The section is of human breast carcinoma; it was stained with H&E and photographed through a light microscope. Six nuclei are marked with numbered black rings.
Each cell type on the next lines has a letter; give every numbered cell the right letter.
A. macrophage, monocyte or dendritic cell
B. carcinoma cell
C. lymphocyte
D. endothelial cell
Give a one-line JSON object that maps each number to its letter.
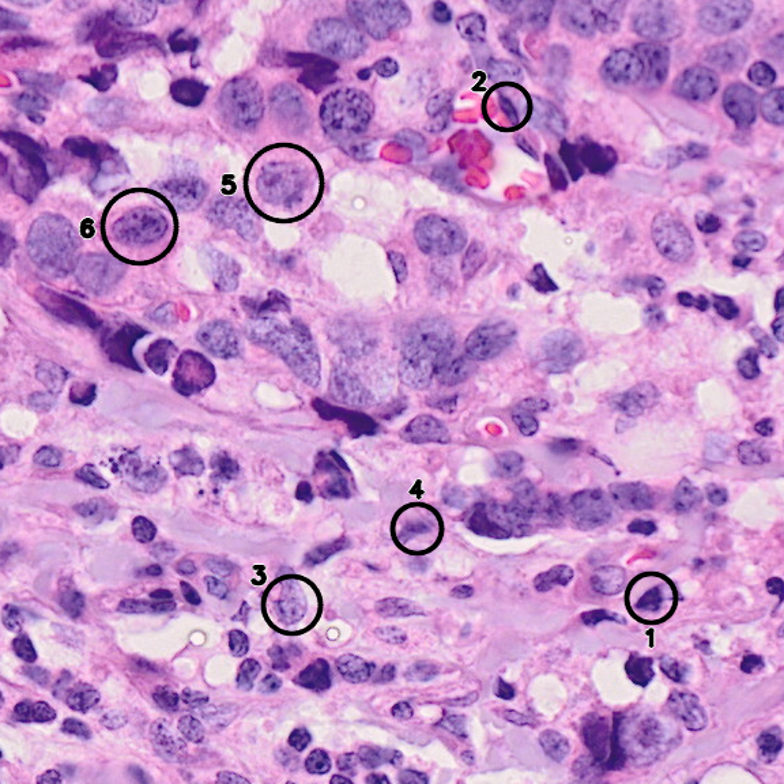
{"1": "C", "2": "D", "3": "A", "4": "A", "5": "B", "6": "B"}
